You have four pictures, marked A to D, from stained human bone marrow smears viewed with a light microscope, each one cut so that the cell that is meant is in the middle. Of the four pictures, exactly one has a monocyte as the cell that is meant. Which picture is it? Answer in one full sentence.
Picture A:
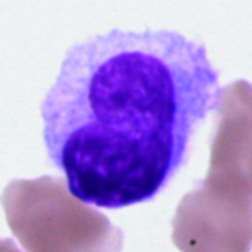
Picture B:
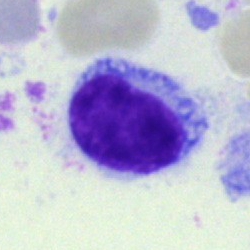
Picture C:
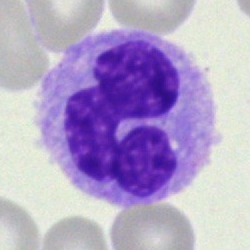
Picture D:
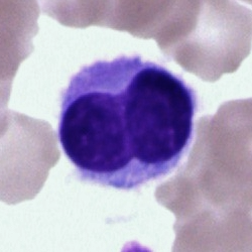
The cell in picture C is the monocyte.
